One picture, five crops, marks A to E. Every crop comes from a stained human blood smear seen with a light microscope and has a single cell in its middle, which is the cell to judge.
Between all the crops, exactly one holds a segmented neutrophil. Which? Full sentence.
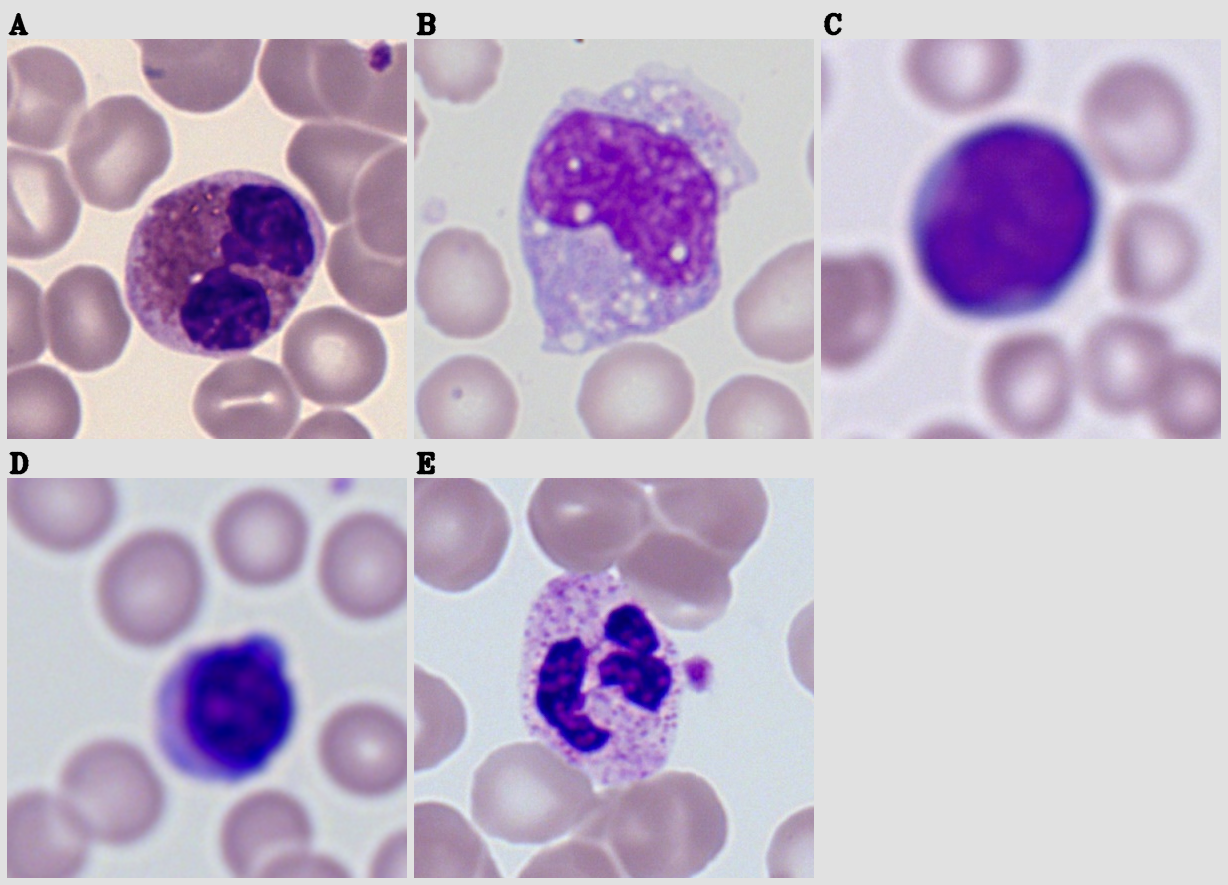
It is crop E that shows a segmented neutrophil.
